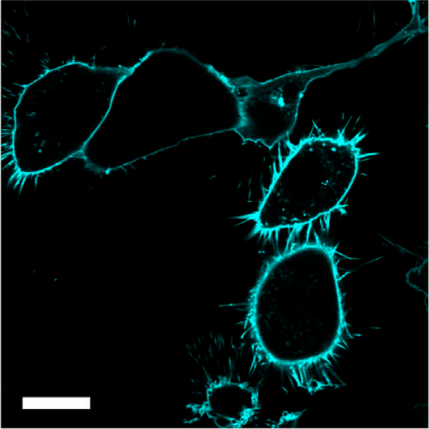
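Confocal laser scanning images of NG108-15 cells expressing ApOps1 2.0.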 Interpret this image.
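Several cultured cells are seen in optical section, each outlined by a thin bright cyan line marking the plasma membrane. The cells are rounded to oval, and from their margins many fine, spiky cyan protrusions radiate outward, with some longer processes connecting neighbouring cells. The interior of each cell is largely dark, with only a few small cyan dots inside, so the signal is concentrated at the cell surface.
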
